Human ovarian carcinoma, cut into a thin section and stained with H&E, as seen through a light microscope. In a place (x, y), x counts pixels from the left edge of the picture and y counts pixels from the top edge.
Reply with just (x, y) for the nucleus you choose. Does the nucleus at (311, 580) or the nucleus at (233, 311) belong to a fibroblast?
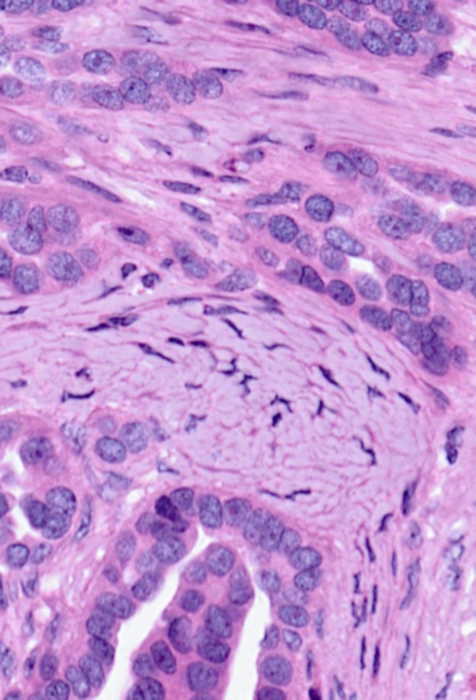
(233, 311)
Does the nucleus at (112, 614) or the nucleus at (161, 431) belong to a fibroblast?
(161, 431)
